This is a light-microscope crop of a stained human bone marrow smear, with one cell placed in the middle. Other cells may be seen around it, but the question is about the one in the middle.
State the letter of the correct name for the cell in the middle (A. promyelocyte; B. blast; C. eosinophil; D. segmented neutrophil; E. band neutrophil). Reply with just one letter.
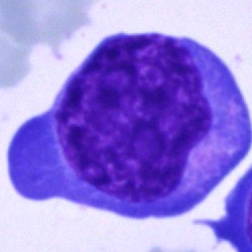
B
